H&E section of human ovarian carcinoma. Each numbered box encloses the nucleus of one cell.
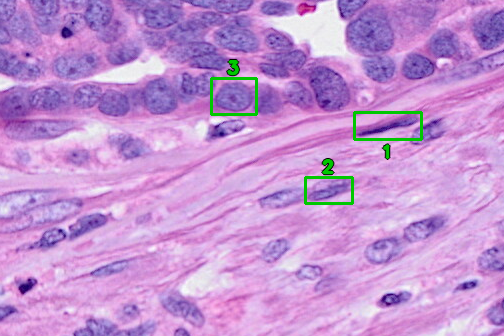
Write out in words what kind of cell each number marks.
Cells 1 and 2 are fibroblasts. Cell 3 is a carcinoma cell.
